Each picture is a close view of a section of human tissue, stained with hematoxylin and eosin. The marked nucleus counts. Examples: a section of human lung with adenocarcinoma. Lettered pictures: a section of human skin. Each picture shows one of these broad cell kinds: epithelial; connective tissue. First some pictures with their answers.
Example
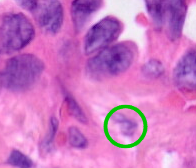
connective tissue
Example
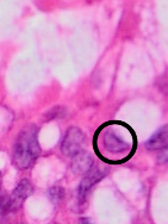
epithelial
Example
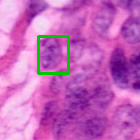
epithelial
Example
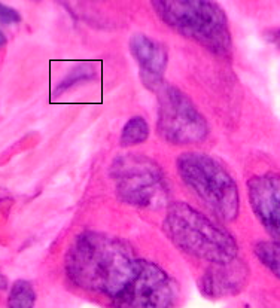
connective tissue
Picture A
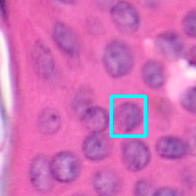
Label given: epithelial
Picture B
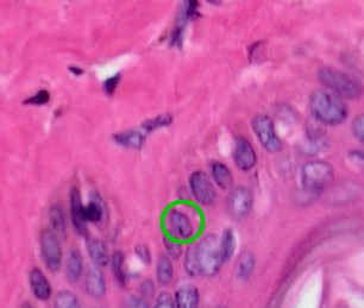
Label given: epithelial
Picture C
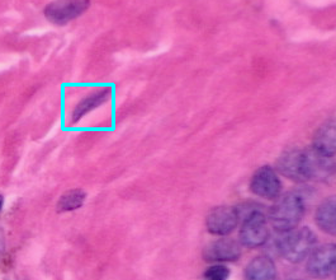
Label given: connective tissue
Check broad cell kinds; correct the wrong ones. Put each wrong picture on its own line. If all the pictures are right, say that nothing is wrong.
All correct.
